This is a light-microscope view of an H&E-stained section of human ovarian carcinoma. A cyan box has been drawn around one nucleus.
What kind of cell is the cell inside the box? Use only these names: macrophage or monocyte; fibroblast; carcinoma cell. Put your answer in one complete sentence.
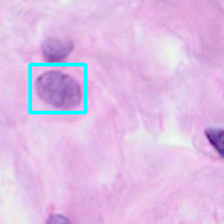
The cell inside the box appears to be a fibroblast.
